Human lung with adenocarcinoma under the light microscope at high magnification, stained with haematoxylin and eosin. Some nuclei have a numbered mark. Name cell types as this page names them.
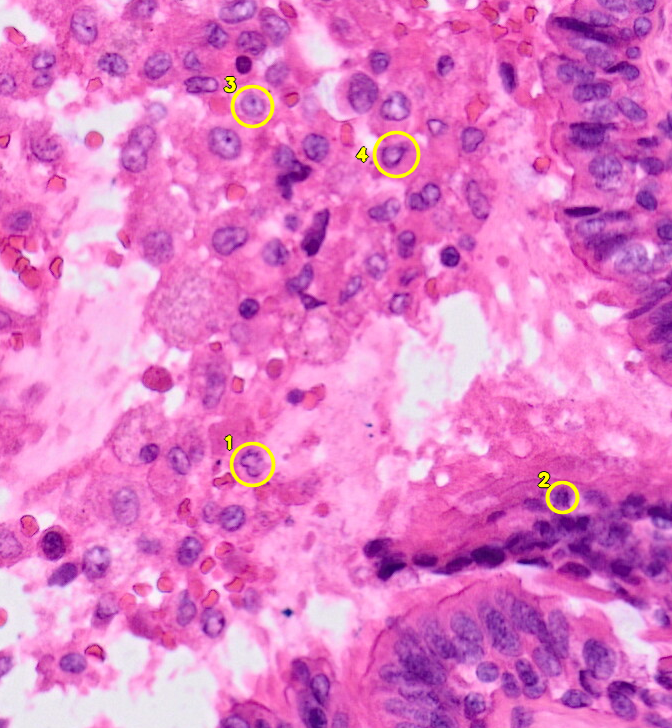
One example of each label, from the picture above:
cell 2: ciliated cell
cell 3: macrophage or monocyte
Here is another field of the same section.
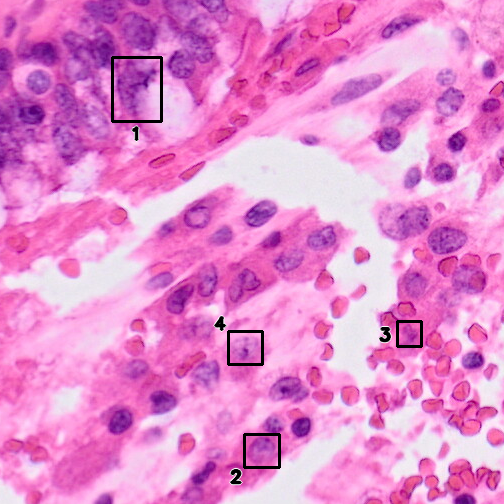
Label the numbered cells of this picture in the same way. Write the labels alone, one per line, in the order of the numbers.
ciliated cell
macrophage or monocyte
macrophage or monocyte
macrophage or monocyte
